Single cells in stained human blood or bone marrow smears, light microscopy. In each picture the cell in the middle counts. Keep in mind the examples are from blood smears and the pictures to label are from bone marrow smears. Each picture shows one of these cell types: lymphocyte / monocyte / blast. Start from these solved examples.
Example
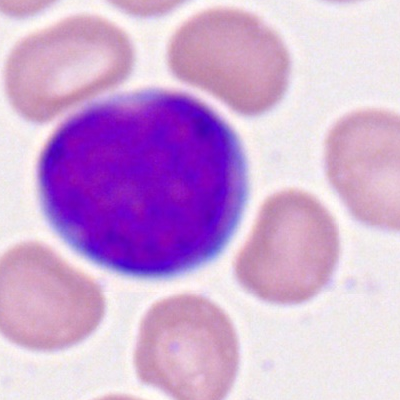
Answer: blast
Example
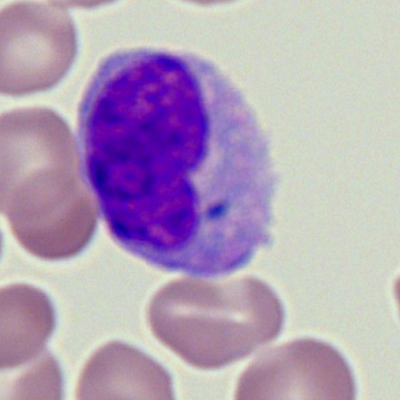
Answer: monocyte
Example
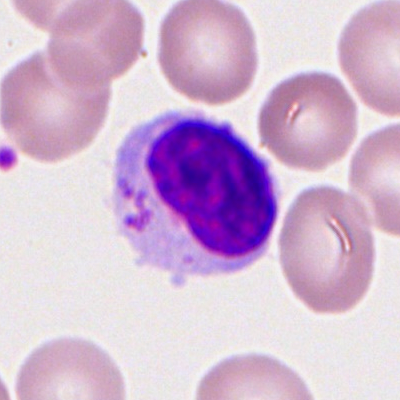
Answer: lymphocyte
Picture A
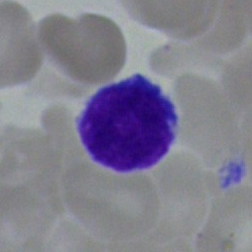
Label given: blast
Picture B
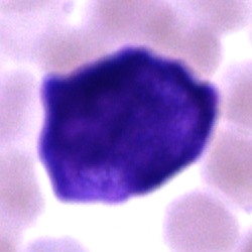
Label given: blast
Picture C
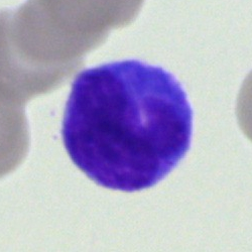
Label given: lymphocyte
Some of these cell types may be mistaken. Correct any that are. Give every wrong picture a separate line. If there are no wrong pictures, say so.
A: lymphocyte, not blast
C: monocyte, not lymphocyte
